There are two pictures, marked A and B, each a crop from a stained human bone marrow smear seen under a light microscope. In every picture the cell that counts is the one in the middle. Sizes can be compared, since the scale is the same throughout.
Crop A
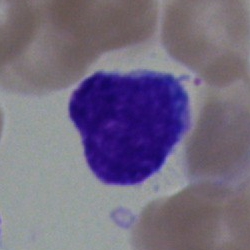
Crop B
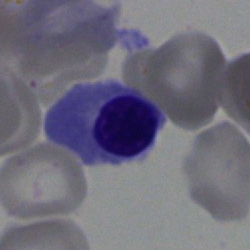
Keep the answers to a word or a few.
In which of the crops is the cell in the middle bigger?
A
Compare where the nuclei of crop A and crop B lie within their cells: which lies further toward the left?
A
